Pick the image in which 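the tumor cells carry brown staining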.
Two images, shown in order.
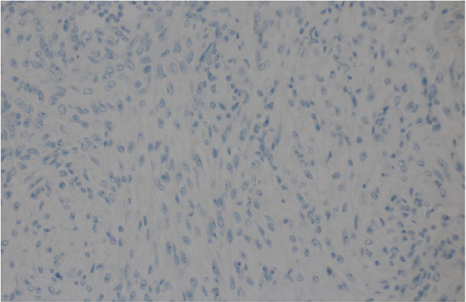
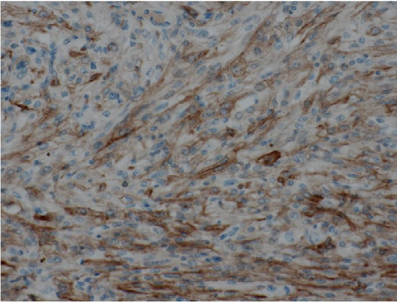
The second image.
